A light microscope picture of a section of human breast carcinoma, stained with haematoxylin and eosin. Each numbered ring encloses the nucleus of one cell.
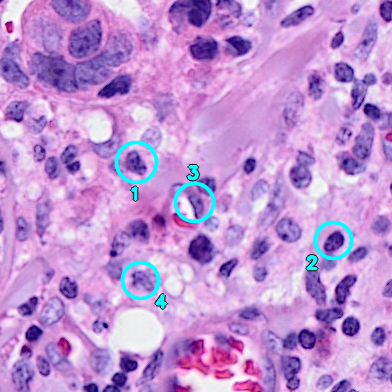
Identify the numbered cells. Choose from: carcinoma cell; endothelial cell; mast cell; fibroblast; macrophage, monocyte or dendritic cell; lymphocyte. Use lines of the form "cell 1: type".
cell 1: lymphocyte
cell 2: lymphocyte
cell 3: endothelial cell
cell 4: macrophage, monocyte or dendritic cell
